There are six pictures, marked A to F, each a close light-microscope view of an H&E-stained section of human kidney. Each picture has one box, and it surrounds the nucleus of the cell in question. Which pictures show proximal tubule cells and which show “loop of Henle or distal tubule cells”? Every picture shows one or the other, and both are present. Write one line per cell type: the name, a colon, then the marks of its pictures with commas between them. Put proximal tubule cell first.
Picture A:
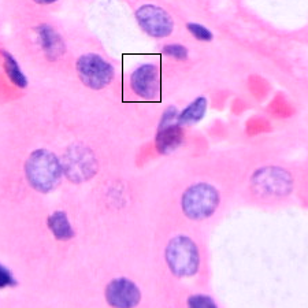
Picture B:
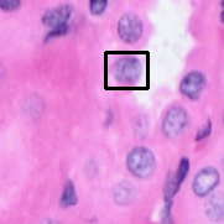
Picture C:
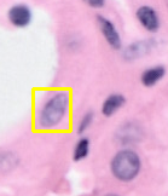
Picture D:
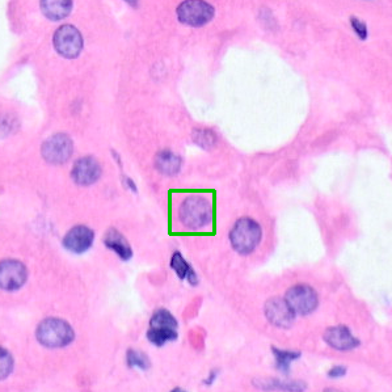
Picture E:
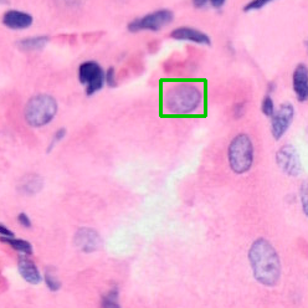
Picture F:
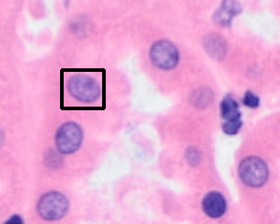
proximal tubule cell: D, E, F
loop of Henle or distal tubule cell: A, B, C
